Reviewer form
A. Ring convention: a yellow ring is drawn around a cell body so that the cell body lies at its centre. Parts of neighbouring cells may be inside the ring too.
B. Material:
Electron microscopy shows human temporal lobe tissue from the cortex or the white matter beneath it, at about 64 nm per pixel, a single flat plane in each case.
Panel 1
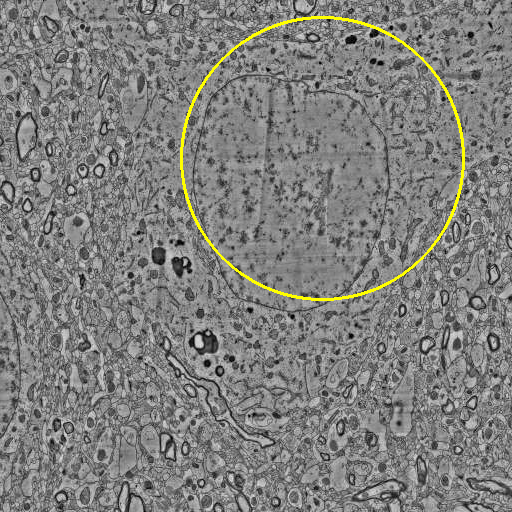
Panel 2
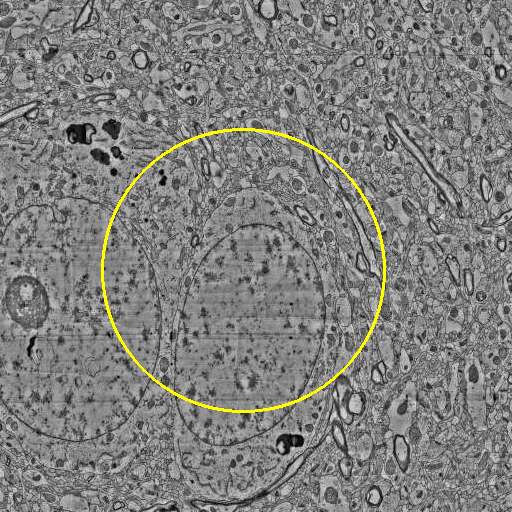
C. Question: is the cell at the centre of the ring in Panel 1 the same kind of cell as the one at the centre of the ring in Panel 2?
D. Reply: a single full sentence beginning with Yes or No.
Yes, the cells in Panel 1 and Panel 2 are the same kind of cell.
